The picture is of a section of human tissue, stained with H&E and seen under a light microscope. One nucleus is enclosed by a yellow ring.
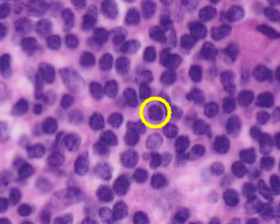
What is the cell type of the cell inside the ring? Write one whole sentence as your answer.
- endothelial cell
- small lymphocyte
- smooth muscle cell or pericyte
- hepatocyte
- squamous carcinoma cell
What the cell inside the ring represents is a small lymphocyte.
